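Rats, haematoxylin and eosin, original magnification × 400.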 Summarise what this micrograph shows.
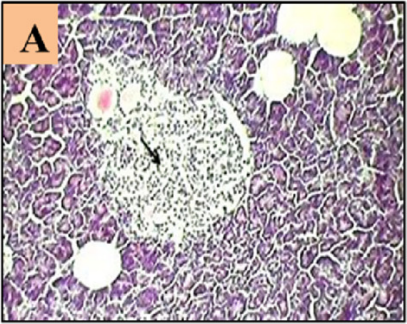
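A large, oval, pale area stands in the middle of densely packed purple glandular tissue, outlined by a thin clear rim. The surrounding tissue consists of small groups of cells with purple cytoplasm, and several round empty spaces lie at the edges of the field. The pale oval area is a pancreatic islet lying among the exocrine acini, its cells far paler than the acinar cells around it.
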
